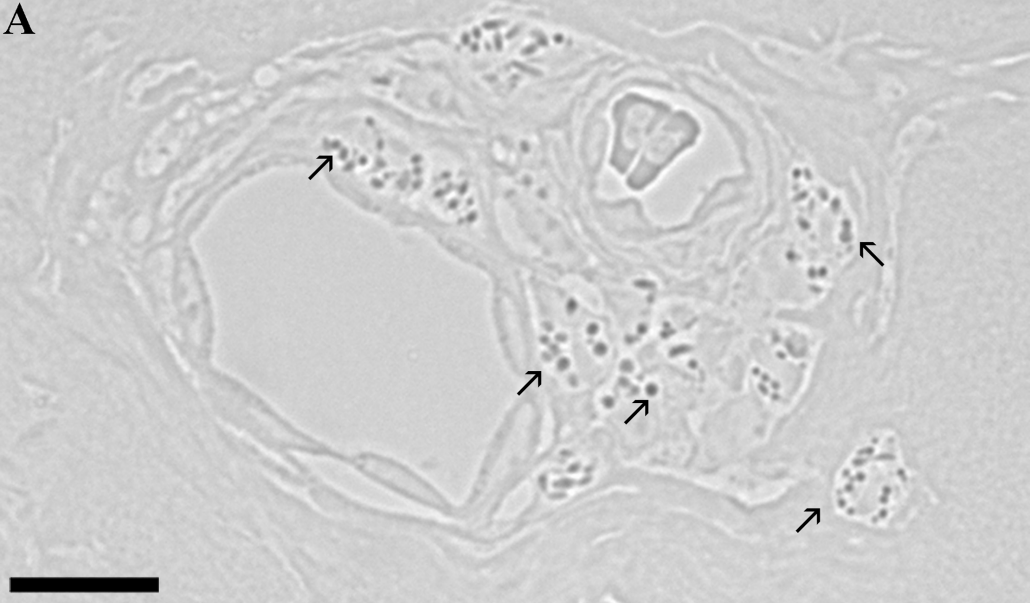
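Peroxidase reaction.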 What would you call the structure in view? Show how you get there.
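A large empty lumen is ringed by layered flattened wall tissue. Cells filled with dark granules cluster around the vessel. On this evidence: perivascular cuff.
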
